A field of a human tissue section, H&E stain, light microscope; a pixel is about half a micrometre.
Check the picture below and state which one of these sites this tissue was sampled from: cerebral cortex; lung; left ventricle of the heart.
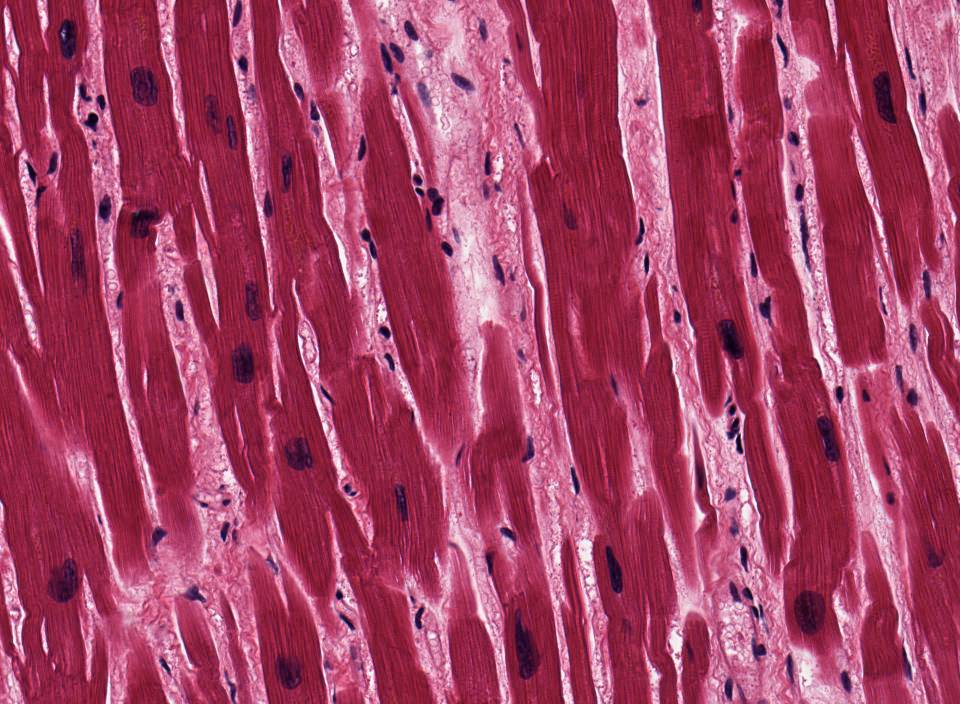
left ventricle of the heart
